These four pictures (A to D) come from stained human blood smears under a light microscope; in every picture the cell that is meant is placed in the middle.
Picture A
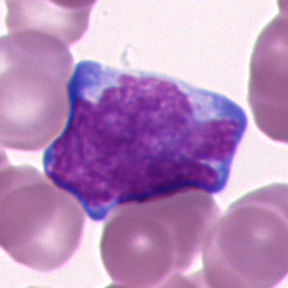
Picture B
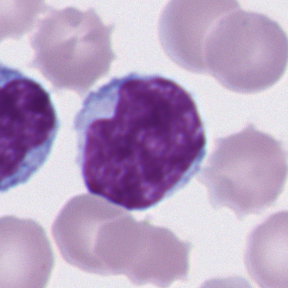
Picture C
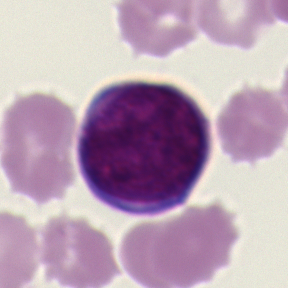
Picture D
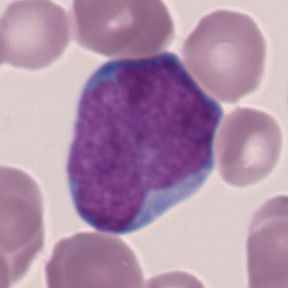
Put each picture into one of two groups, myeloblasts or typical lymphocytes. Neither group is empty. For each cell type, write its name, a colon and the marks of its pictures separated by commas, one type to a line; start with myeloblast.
myeloblast: A, C, D
typical lymphocyte: B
